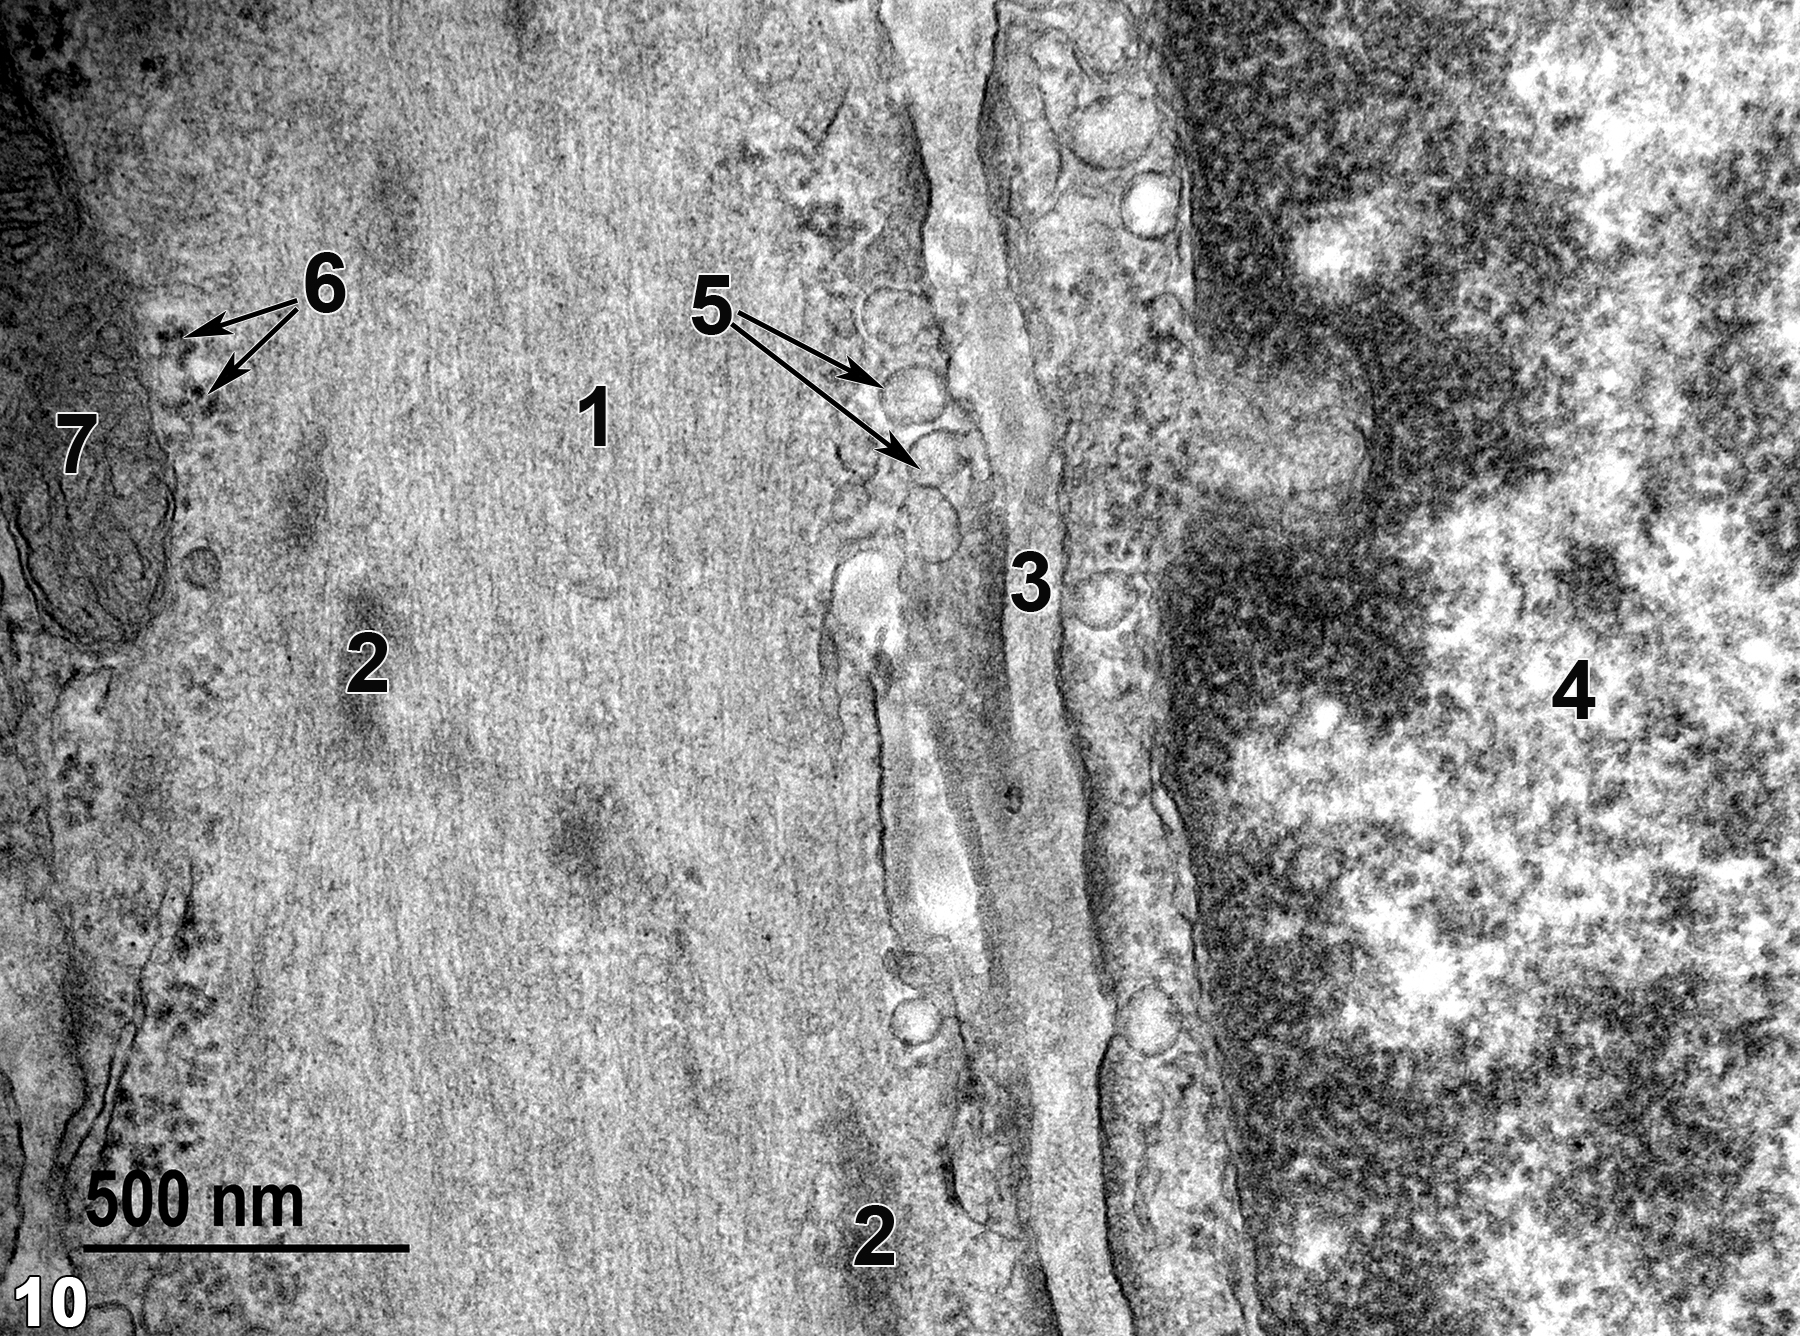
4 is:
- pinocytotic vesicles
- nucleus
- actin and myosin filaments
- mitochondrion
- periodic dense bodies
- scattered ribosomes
nucleus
